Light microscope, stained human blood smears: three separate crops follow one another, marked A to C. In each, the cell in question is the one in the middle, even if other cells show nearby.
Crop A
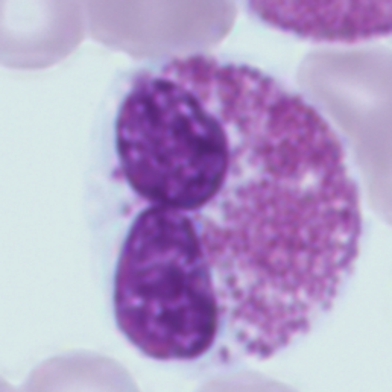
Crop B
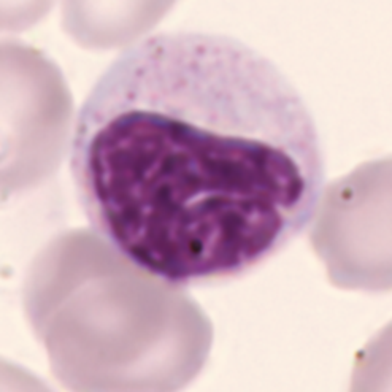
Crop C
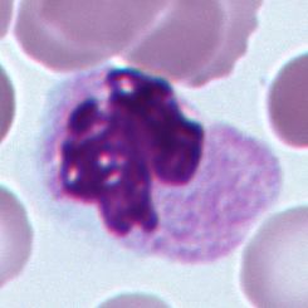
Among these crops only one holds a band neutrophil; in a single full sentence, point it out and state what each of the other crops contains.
The crop labelled B shows a band neutrophil, whereas crop A is an eosinophil and crop C is a segmented neutrophil.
